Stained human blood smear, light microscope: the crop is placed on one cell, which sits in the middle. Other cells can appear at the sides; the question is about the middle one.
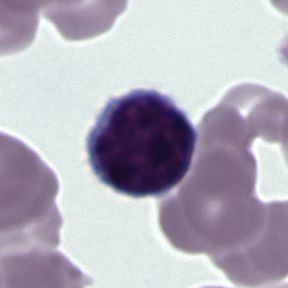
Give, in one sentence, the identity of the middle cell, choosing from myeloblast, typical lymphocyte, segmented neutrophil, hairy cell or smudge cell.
This crop is built around a typical lymphocyte at its centre.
